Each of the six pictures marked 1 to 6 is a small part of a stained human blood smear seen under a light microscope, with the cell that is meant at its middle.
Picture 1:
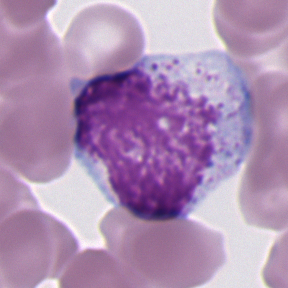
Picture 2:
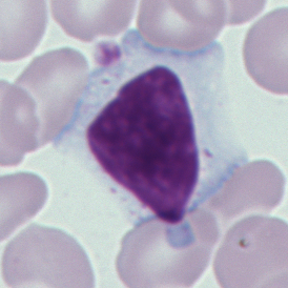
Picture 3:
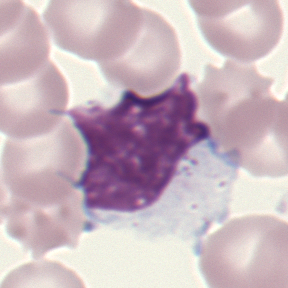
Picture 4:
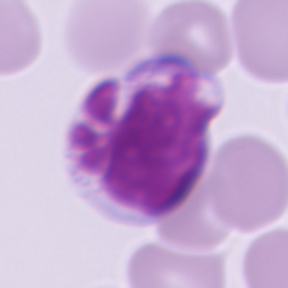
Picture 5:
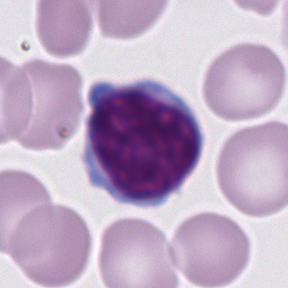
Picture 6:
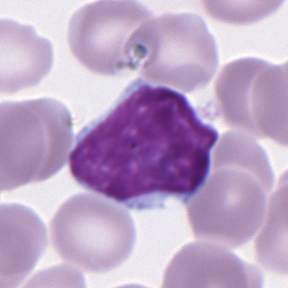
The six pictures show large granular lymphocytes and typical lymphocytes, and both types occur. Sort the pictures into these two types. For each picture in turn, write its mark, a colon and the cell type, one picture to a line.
1: large granular lymphocyte
2: large granular lymphocyte
3: large granular lymphocyte
4: large granular lymphocyte
5: typical lymphocyte
6: typical lymphocyte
